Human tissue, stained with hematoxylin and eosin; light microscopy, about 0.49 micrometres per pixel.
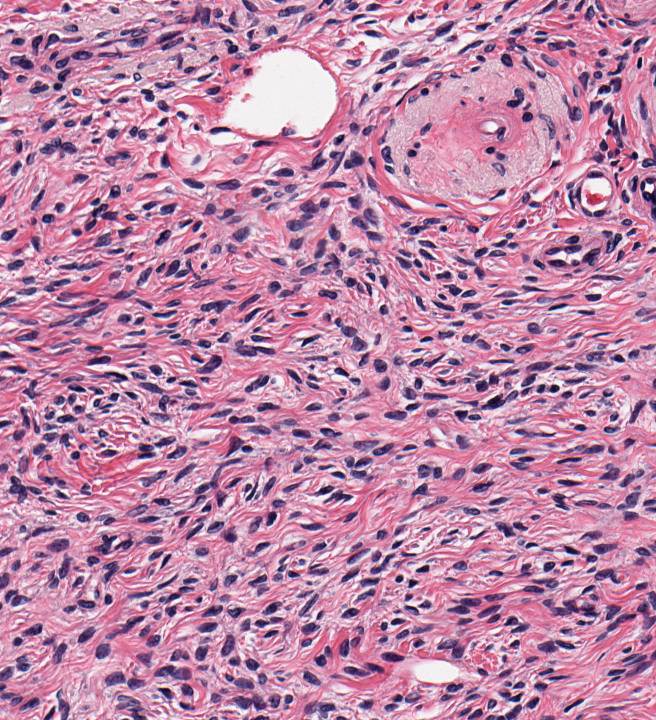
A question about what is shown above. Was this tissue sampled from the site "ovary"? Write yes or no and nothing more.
yes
